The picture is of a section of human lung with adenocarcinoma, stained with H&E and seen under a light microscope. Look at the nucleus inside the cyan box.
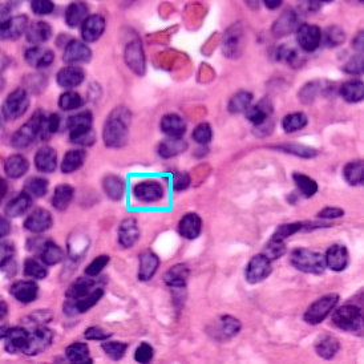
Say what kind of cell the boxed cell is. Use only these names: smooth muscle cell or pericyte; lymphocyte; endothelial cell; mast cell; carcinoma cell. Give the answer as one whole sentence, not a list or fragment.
The cell type represented by the boxed cell is that of a lymphocyte.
